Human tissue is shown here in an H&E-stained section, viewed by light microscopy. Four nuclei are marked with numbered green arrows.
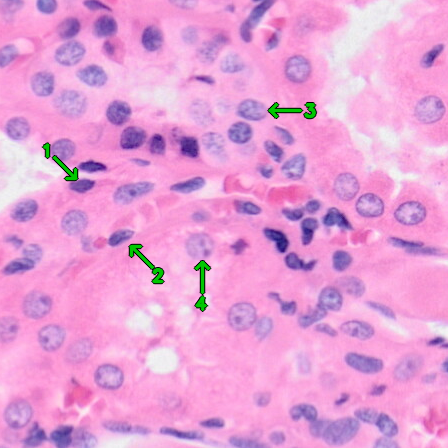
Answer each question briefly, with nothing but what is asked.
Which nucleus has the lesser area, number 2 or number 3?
2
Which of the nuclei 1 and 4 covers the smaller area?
1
